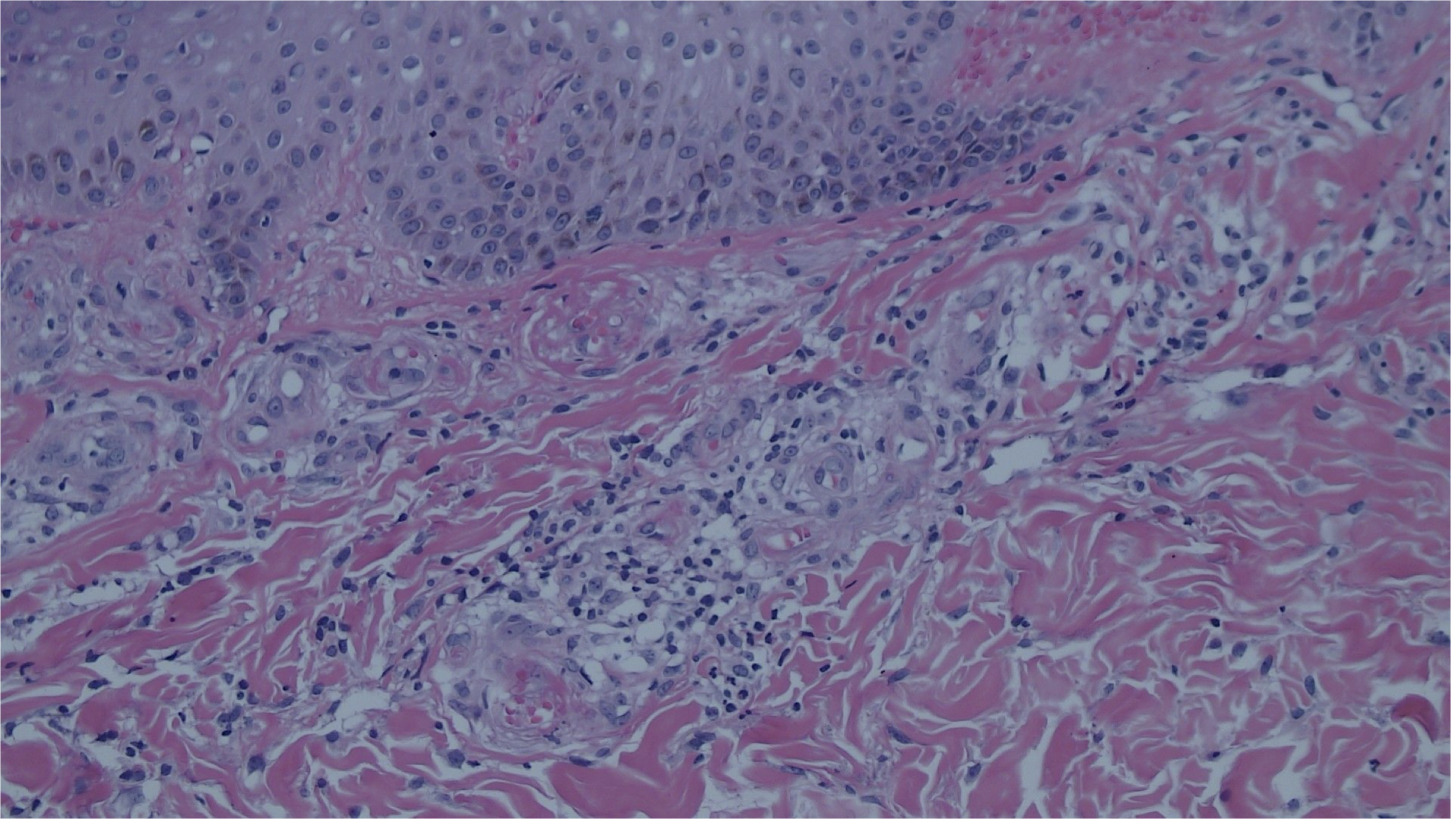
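This is skin, with stratified squamous epidermis across the top and dermis below. The keratinocytes have round to oval nuclei and pale pink cytoplasm, and the basal layer has more crowded, darker cells, some with brown pigment. The dermis is made of wavy pink collagen bundles. Small blood vessels are scattered through the dermis and are seen in cross-section. Their walls are thickened and pale pink, and some lumens contain red blood cells. Clusters of small round cells with dark nuclei, consistent with lymphocytes, gather around these vessels.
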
